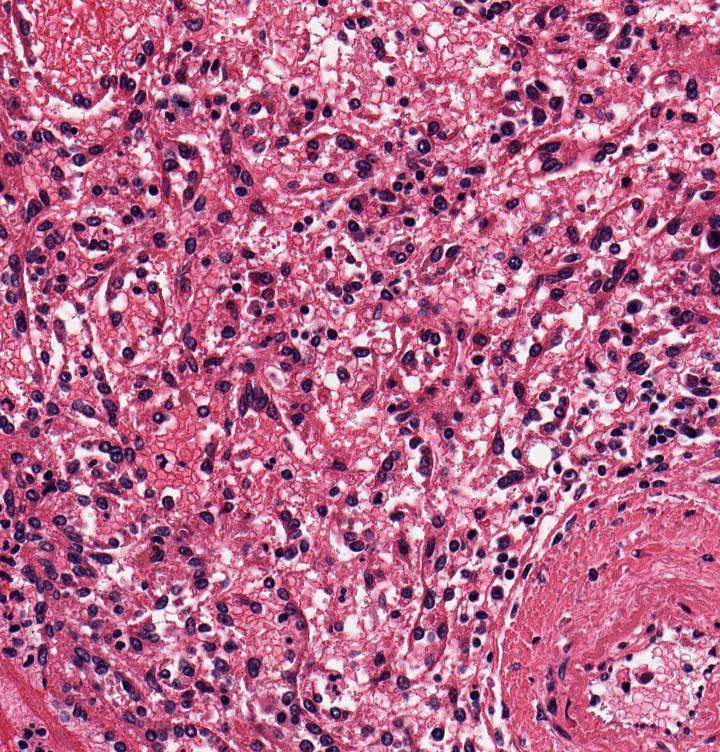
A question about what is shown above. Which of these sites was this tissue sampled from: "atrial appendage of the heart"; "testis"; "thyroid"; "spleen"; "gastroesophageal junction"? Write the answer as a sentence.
The site this tissue was sampled from is the spleen.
